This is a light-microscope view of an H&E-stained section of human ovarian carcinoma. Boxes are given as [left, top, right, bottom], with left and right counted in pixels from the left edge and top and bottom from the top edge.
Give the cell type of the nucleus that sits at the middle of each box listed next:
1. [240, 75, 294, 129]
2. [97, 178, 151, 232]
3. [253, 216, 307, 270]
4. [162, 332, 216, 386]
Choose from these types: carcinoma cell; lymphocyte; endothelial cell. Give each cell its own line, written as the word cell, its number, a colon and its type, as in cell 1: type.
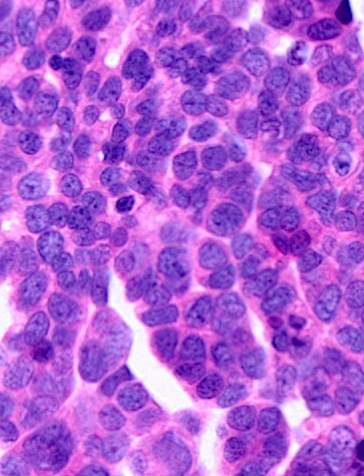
cell 1: carcinoma cell
cell 2: lymphocyte
cell 3: carcinoma cell
cell 4: carcinoma cell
